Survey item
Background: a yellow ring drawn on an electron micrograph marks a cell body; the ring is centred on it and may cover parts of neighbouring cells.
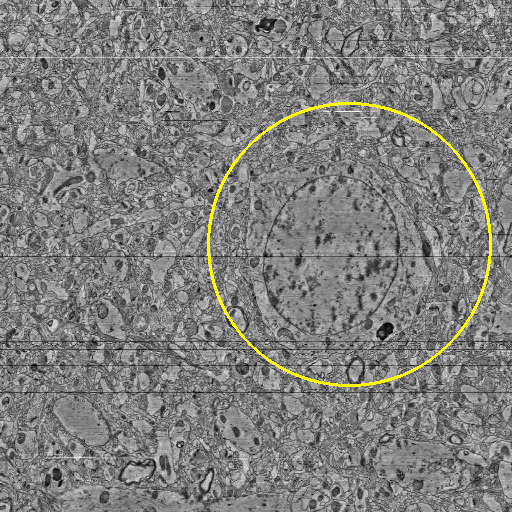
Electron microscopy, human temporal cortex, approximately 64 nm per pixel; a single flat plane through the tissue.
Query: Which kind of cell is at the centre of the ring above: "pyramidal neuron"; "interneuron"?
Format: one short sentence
The cell in the middle of the ring is a pyramidal neuron.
